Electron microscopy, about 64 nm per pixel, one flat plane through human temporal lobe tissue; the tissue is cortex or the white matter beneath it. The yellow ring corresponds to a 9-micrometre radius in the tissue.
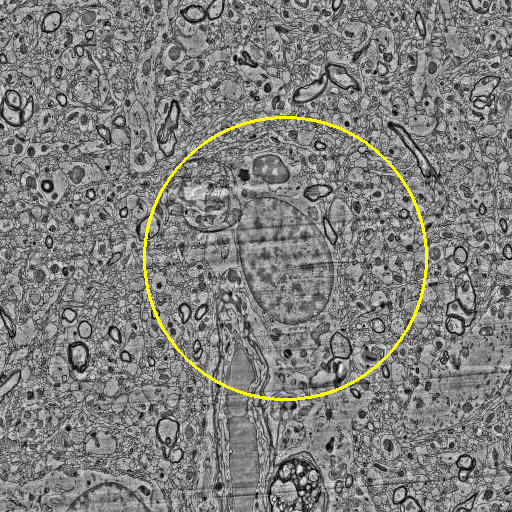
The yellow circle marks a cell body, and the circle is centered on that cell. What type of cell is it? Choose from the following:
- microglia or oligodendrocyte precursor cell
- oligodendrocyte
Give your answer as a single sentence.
This cell body belongs to an oligodendrocyte.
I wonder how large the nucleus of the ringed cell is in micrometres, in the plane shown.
In this plane, roughly 9 by 6 micrometres.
